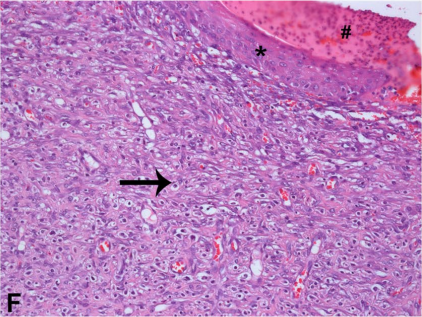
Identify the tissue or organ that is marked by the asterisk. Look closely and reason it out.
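A band of closely packed cells lining the surface under the pink crust at upper right.
Answer: epithelial tissue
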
